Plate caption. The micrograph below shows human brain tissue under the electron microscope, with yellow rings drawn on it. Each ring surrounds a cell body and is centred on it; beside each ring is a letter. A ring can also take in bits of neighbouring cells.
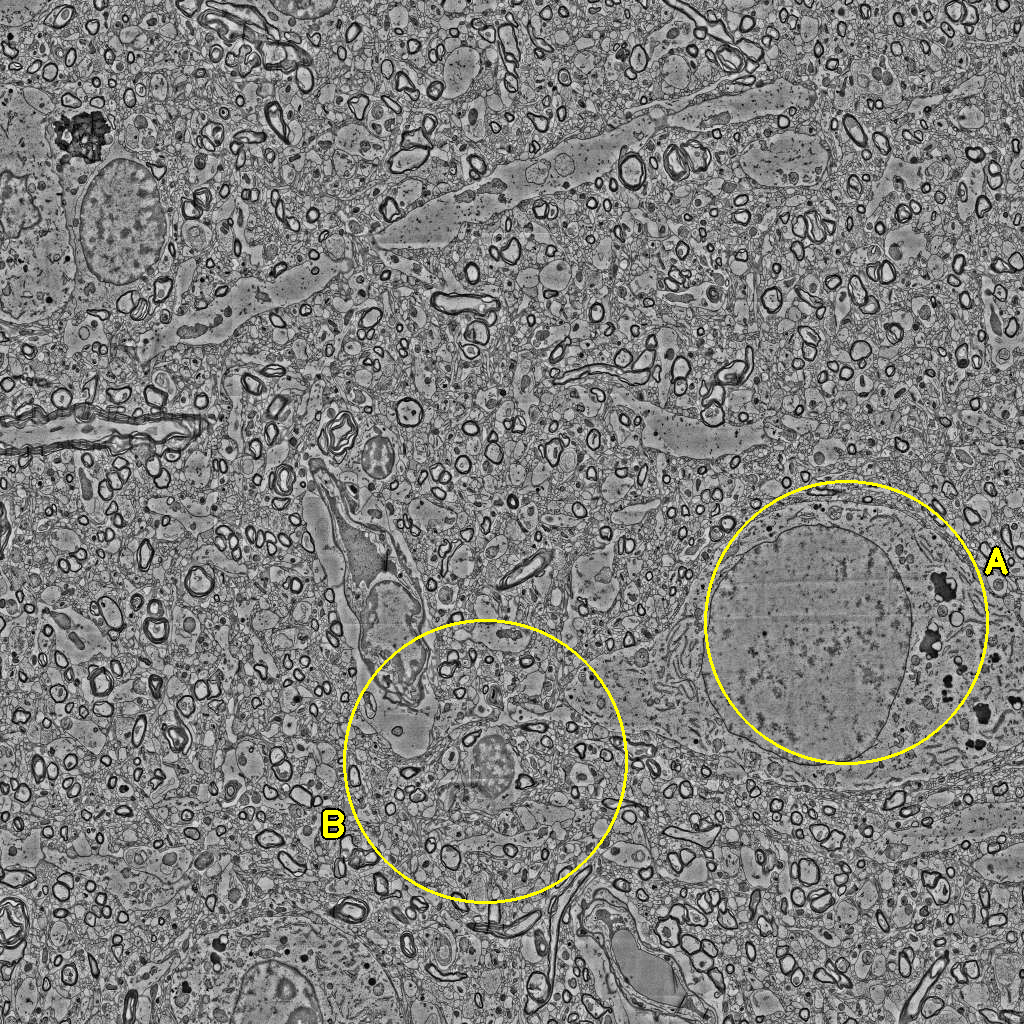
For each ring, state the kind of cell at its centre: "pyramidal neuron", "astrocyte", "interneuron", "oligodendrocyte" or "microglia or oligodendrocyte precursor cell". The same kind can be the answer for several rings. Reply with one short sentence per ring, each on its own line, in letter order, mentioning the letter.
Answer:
Ring A is drawn around a pyramidal neuron.
Ring B is drawn around an oligodendrocyte.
